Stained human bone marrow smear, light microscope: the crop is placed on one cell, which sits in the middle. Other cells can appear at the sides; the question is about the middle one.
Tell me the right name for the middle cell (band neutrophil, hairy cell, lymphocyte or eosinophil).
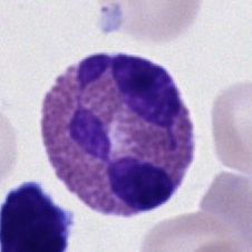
eosinophil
